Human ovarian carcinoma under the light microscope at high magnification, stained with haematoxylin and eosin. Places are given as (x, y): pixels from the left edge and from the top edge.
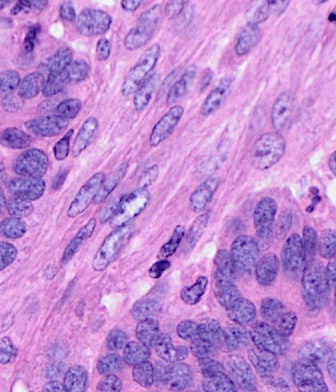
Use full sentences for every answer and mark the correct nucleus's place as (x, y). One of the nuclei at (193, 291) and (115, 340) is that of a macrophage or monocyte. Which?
The nucleus at (193, 291) is the member of the pair belonging to a macrophage or monocyte.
